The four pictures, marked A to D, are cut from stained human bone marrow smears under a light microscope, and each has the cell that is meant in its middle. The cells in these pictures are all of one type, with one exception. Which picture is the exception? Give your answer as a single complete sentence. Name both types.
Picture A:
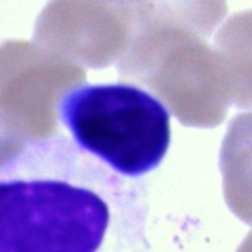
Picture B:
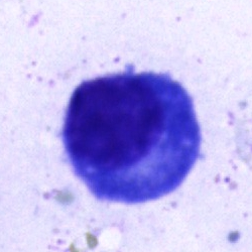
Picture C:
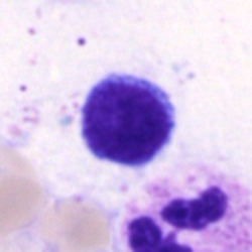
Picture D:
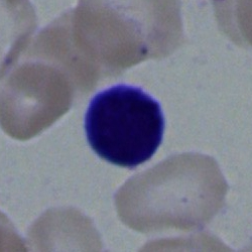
The others show lymphocytes, but picture B shows a plasma cell.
